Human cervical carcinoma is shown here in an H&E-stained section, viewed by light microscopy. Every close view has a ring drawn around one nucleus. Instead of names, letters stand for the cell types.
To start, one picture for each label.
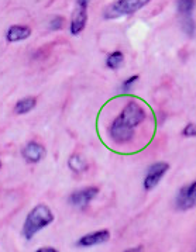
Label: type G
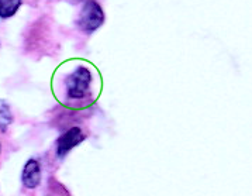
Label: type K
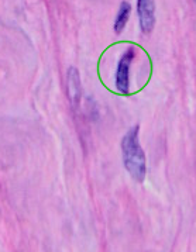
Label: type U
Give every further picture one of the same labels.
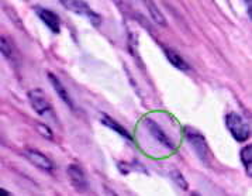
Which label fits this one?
type U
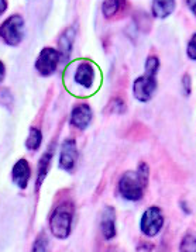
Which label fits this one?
type K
